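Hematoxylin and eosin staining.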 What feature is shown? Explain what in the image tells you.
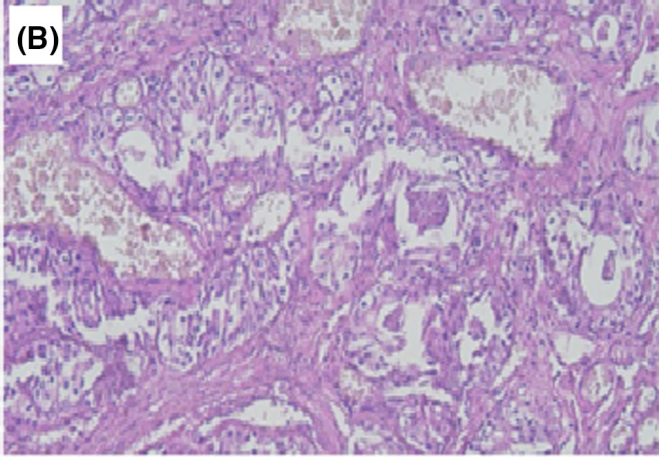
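Epithelial cell nests. Rounded clusters of epithelial cells are separated by pink fibrous stroma. Several clusters enclose an open central space.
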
